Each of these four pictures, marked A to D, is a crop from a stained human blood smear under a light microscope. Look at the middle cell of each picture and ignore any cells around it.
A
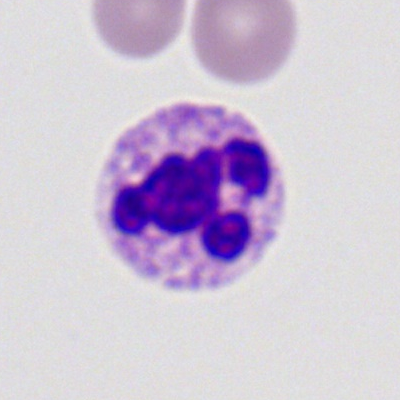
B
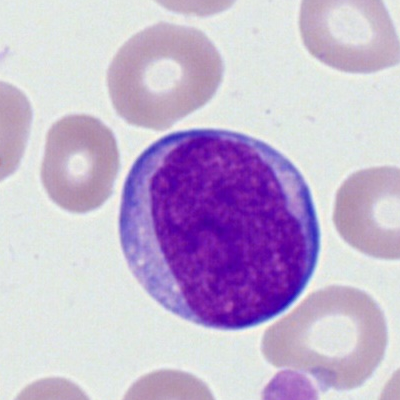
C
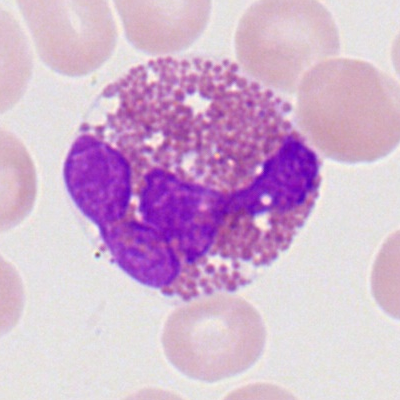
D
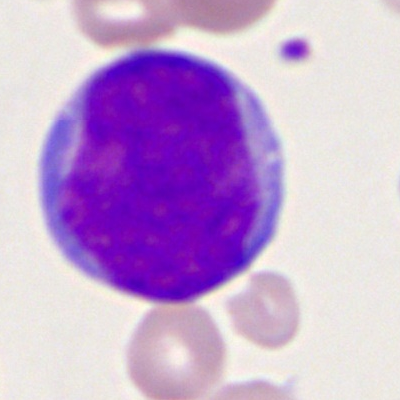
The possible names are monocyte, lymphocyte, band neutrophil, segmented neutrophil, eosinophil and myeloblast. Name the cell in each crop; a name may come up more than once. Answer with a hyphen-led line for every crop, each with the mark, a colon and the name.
- A: segmented neutrophil
- B: myeloblast
- C: eosinophil
- D: myeloblast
